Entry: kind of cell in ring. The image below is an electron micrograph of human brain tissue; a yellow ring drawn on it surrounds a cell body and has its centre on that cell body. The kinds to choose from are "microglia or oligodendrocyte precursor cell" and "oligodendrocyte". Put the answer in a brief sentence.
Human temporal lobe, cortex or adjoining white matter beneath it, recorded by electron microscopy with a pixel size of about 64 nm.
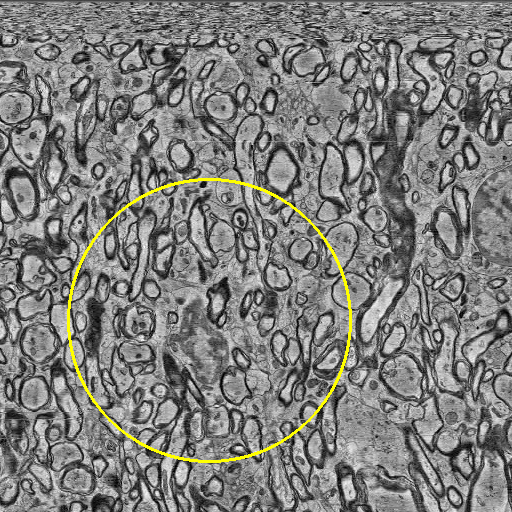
The ring has been drawn around a microglial cell or oligodendrocyte precursor cell.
